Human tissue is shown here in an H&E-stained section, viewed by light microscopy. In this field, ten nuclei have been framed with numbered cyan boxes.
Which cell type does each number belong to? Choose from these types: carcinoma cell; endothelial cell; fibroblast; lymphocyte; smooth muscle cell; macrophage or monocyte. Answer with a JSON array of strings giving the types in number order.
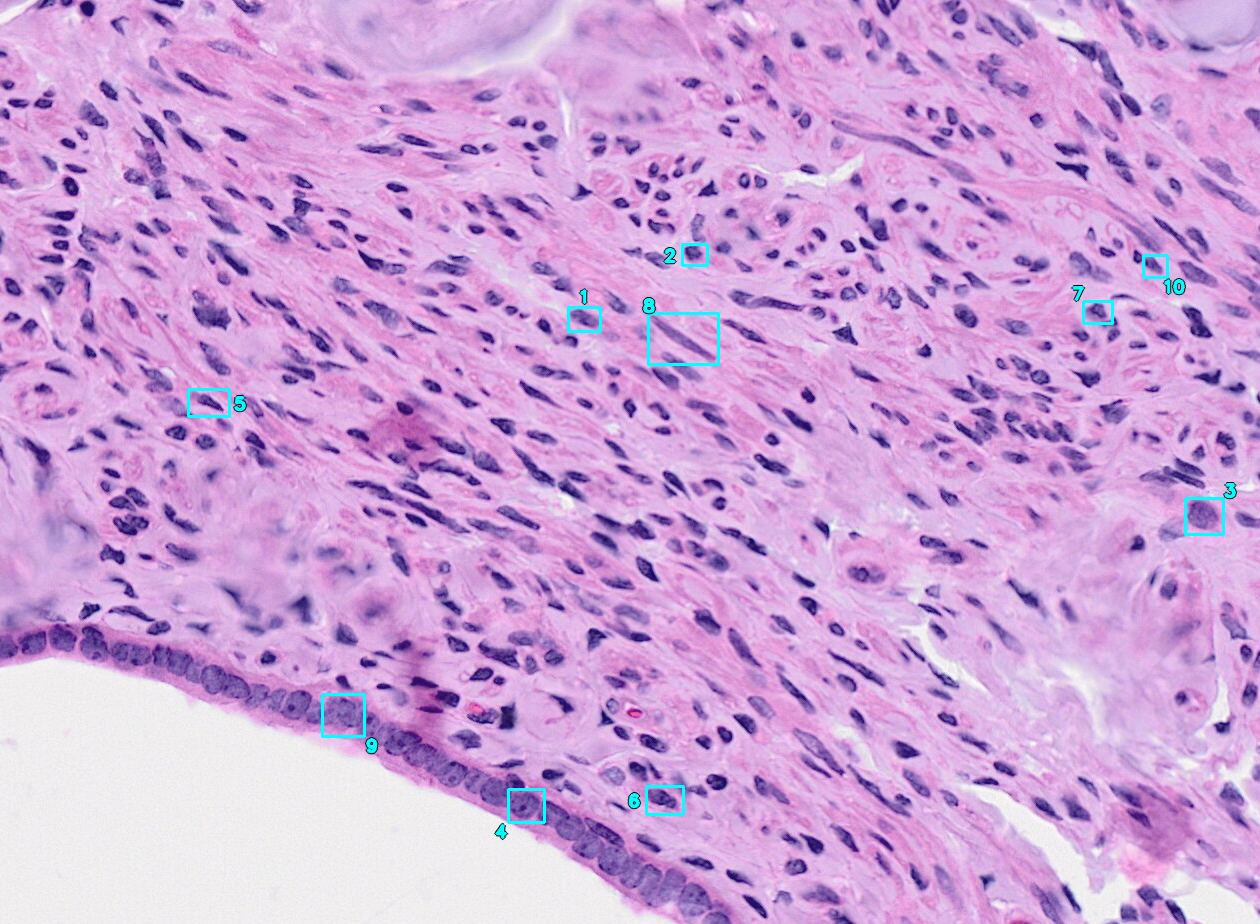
["smooth muscle cell", "smooth muscle cell", "endothelial cell", "carcinoma cell", "smooth muscle cell", "endothelial cell", "smooth muscle cell", "smooth muscle cell", "carcinoma cell", "smooth muscle cell"]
